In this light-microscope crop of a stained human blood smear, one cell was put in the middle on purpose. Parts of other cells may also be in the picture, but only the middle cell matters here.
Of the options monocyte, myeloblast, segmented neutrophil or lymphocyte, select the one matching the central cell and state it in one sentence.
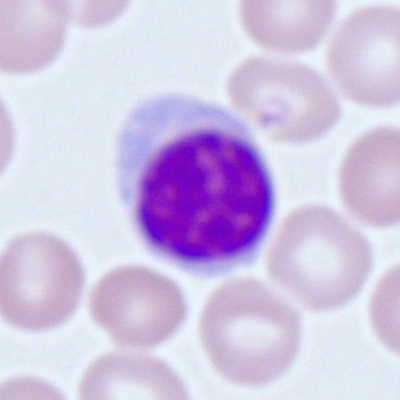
In the center of this field lies a lymphocyte.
